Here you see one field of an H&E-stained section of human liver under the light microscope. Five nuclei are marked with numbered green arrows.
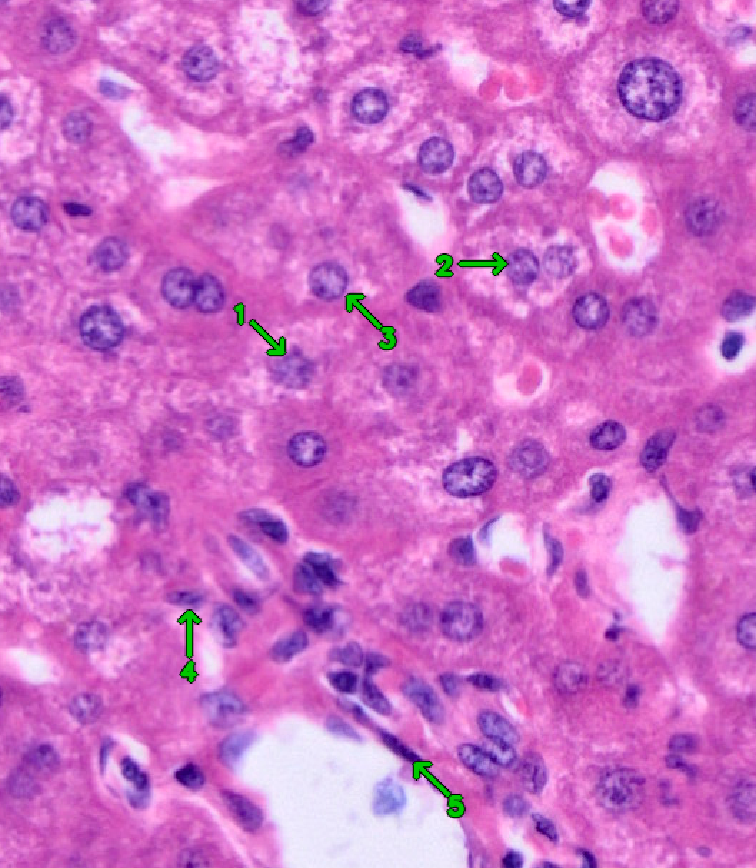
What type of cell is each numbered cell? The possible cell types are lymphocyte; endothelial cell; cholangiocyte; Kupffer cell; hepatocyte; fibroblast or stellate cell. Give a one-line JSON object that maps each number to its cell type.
{"1": "hepatocyte", "2": "hepatocyte", "3": "hepatocyte", "4": "fibroblast or stellate cell", "5": "fibroblast or stellate cell"}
